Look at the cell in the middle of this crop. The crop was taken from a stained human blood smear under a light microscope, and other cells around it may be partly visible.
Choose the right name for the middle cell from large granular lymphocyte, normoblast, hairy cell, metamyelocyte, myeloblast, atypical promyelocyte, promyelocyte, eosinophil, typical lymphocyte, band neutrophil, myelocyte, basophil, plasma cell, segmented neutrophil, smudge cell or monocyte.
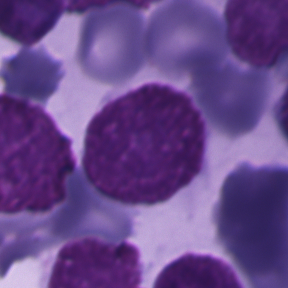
smudge cell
